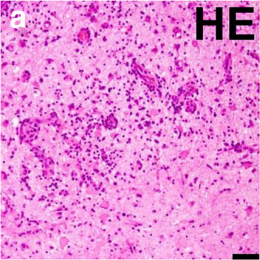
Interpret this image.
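This is brain tissue with dense inflammatory infiltrates of small cells with round dark purple nuclei. The infiltrates gather in clusters around blood vessels within the parenchyma. Between the clusters the pink neuropil is loosened and contains scattered cells, fitting reactive change.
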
